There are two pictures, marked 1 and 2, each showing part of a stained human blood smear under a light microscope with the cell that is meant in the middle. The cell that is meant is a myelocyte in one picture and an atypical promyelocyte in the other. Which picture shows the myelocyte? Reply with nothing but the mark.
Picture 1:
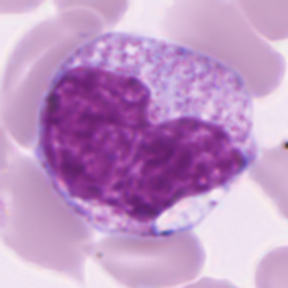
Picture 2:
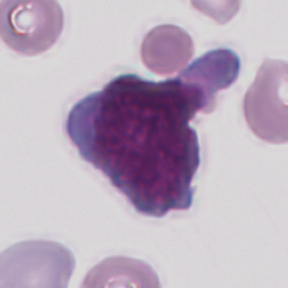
1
